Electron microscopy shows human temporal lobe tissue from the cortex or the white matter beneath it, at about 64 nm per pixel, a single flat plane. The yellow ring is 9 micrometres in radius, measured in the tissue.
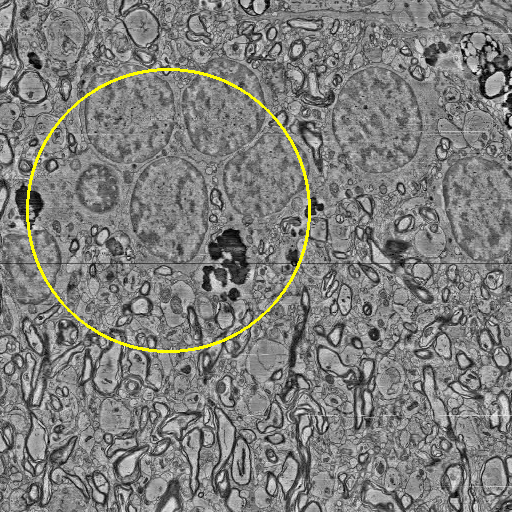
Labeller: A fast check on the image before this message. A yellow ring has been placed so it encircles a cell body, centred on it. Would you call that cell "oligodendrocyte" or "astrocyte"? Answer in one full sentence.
In this image, an oligodendrocyte is the cell on which the yellow ring is centred.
